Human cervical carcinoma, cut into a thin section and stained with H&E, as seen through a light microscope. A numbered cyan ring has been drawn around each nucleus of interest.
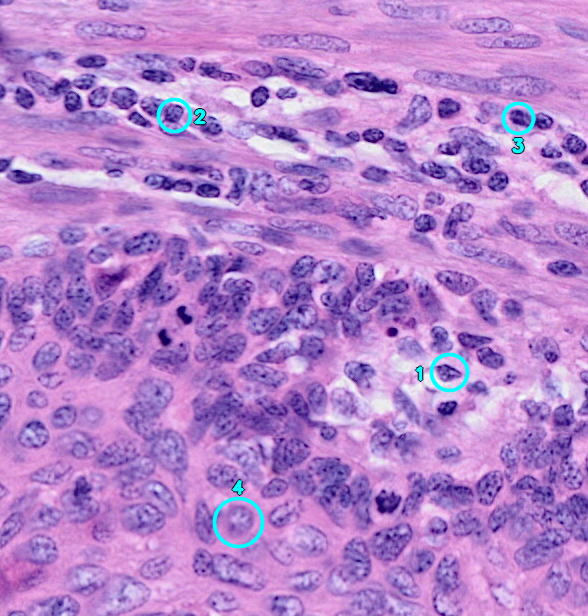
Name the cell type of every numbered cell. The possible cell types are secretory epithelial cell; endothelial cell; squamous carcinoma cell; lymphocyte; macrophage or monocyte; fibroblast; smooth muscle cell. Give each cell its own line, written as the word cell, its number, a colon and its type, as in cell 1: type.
cell 1: lymphocyte
cell 2: lymphocyte
cell 3: lymphocyte
cell 4: squamous carcinoma cell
